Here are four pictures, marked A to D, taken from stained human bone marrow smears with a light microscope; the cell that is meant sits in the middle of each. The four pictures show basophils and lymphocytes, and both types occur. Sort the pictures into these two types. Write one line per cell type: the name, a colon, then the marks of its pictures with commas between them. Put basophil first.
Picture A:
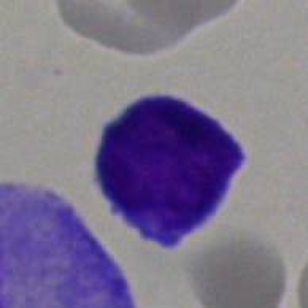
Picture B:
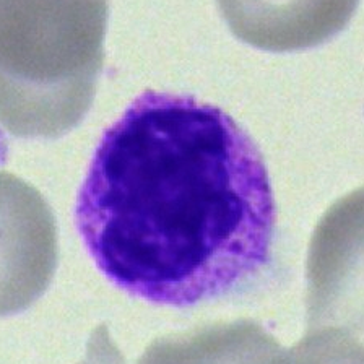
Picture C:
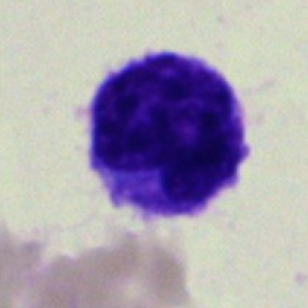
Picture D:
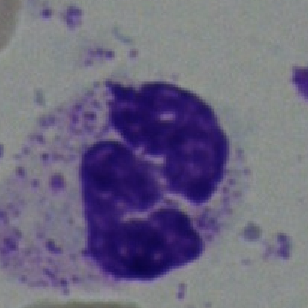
basophil: B, D
lymphocyte: A, C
